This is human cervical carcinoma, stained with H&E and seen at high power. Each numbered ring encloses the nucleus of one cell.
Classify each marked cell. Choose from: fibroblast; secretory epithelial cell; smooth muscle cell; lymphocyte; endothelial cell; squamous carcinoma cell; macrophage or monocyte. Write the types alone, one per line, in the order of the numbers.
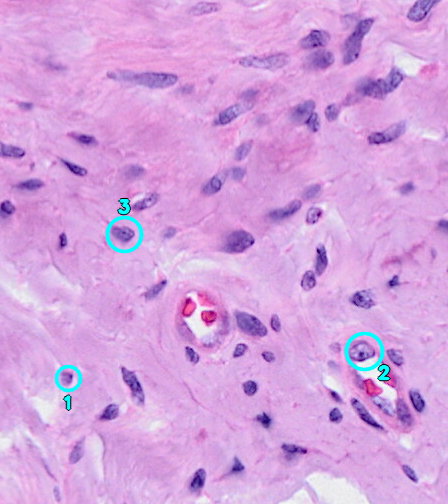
fibroblast
endothelial cell
fibroblast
